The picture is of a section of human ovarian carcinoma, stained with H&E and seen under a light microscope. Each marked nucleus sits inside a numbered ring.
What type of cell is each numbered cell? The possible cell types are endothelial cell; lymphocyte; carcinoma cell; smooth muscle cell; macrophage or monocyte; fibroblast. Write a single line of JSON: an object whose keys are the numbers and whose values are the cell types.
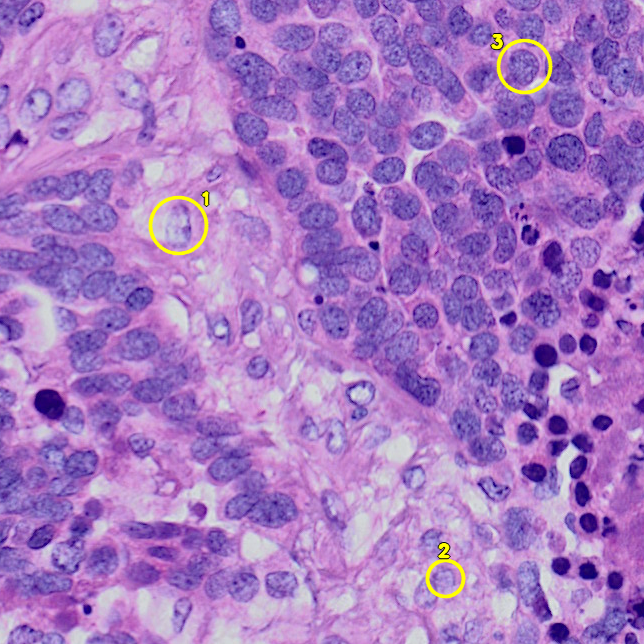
{"1": "fibroblast", "2": "fibroblast", "3": "carcinoma cell"}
